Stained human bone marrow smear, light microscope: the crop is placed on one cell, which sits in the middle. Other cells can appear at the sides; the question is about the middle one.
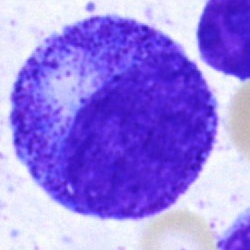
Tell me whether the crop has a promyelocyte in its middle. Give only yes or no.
yes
